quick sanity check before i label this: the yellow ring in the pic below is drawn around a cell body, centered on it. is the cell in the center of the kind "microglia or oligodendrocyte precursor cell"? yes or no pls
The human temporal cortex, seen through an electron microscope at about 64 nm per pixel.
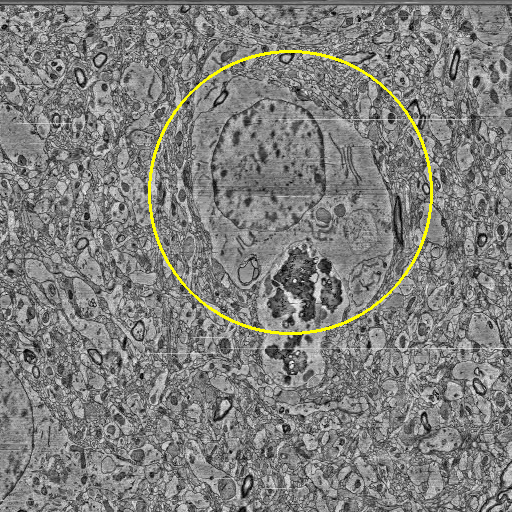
no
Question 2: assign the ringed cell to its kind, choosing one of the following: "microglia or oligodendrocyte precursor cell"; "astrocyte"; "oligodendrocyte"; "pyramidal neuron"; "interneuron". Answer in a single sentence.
This picture has an astrocyte at the centre of its ring.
